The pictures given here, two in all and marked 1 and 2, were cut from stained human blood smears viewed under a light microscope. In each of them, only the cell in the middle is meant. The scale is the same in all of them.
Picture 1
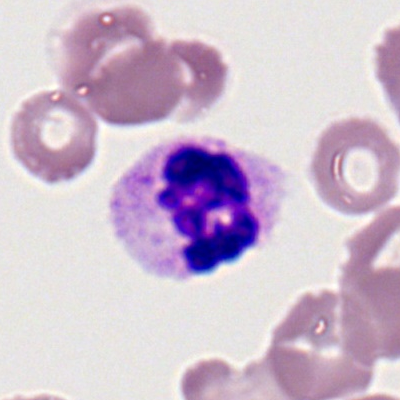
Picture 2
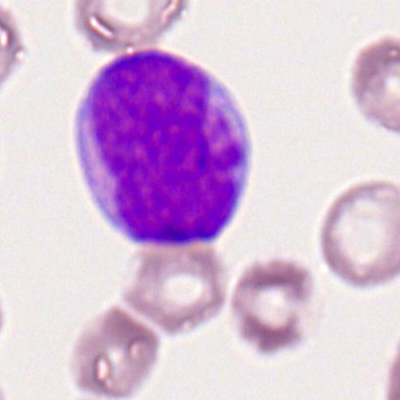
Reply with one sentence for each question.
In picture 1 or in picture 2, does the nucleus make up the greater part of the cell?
In picture 2 the nucleus takes up the larger part of its cell.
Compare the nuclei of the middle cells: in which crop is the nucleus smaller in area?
Smaller is the nucleus in picture 1, and the other is about 2.5 times as large in area.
